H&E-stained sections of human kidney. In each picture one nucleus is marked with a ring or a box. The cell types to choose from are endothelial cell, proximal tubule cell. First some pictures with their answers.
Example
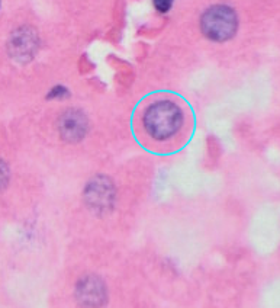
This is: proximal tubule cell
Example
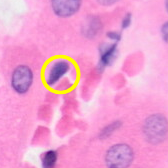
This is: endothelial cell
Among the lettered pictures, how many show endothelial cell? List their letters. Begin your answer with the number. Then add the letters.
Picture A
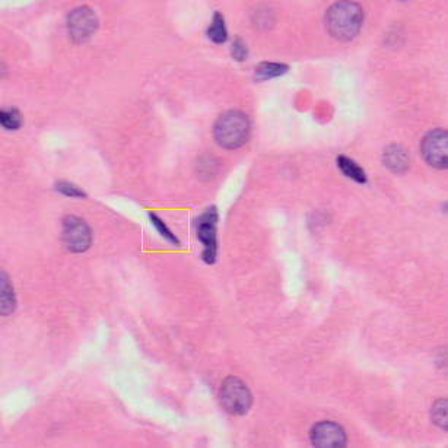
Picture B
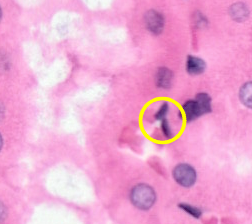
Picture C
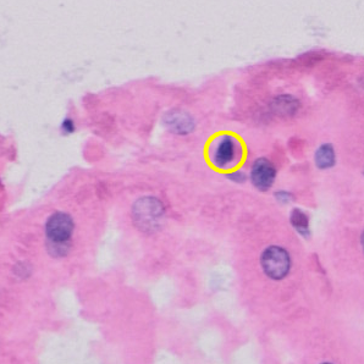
Count: 3 (A, B, C)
